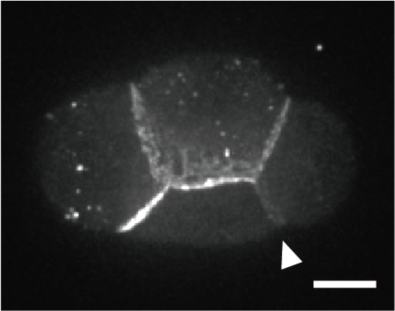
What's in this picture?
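This is a four-cell nematode embryo inside its eggshell, seen by fluorescence. The bright signal outlines the boundaries where the cells touch one another: a horizontal line across the middle joined by lines running up and down to the edge, forming the contact pattern of four packed cells. The cytoplasm is dim, with scattered bright dots. At the right end, one contact between two cells is only faintly labelled, much weaker than the bright central contacts; the outer, free surfaces of the cells carry little signal.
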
